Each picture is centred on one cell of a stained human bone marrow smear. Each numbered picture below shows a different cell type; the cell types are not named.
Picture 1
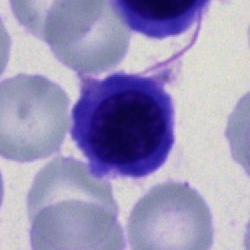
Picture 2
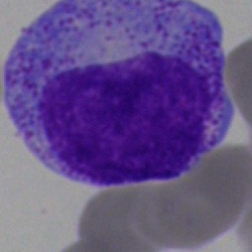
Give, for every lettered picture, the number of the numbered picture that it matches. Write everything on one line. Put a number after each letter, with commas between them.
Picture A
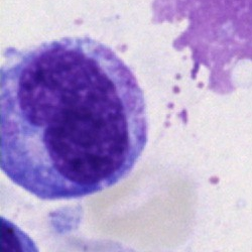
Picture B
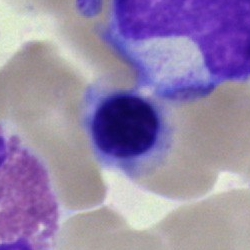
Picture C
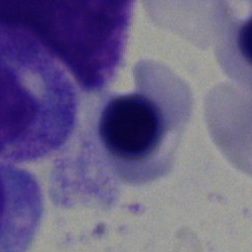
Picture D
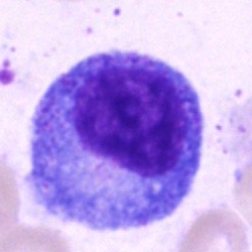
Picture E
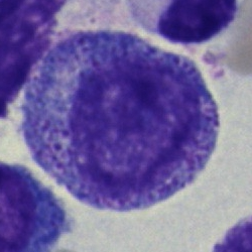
A 2, B 1, C 1, D 2, E 2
